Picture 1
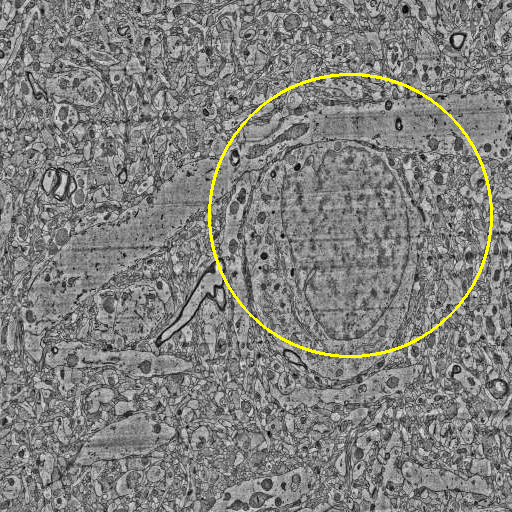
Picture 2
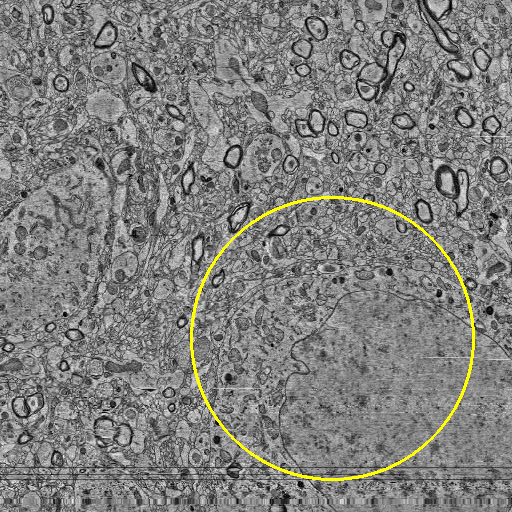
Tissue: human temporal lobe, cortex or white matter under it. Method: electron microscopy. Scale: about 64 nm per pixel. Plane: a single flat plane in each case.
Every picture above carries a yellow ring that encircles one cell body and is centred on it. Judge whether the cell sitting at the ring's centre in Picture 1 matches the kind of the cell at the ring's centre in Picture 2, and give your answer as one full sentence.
No, the cells centred in the rings of Pictures 1 and 2 belong to two kinds.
